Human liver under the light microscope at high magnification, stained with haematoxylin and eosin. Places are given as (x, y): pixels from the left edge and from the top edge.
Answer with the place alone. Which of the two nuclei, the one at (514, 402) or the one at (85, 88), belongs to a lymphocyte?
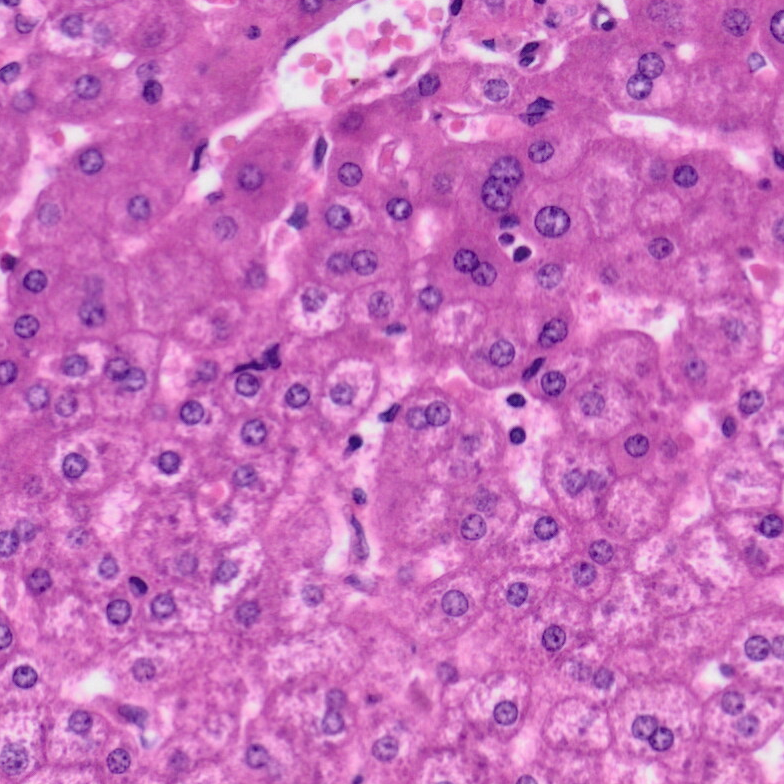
(514, 402)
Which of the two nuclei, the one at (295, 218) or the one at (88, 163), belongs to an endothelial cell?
(295, 218)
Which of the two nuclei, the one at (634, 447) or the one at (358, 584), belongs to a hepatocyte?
(634, 447)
